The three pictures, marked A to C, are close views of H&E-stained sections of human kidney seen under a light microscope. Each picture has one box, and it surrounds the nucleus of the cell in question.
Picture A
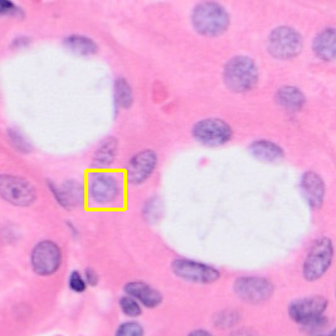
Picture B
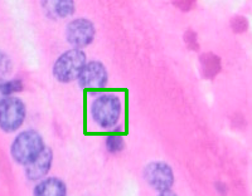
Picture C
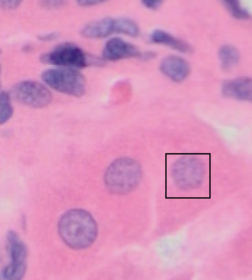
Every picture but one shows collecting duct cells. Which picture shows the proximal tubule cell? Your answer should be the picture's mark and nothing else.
C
